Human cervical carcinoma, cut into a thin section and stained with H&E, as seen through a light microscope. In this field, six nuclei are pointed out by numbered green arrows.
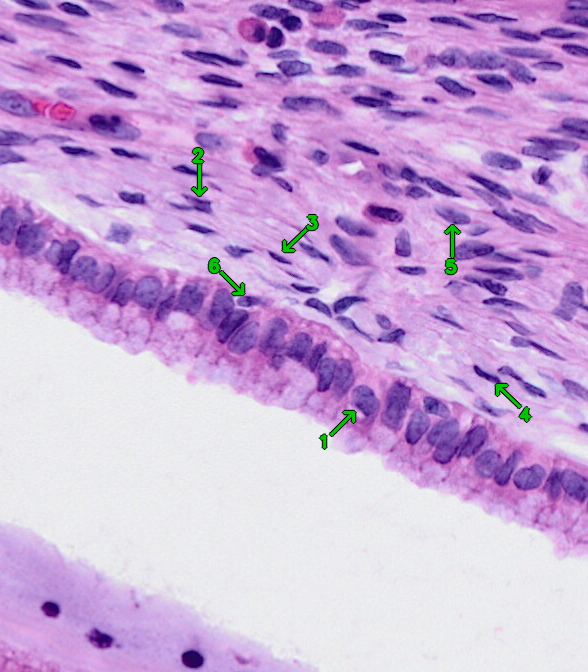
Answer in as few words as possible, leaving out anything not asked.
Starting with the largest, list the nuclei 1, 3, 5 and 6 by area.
1, 5, 6, 3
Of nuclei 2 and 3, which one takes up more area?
2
